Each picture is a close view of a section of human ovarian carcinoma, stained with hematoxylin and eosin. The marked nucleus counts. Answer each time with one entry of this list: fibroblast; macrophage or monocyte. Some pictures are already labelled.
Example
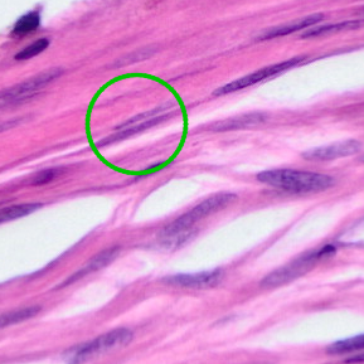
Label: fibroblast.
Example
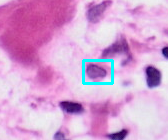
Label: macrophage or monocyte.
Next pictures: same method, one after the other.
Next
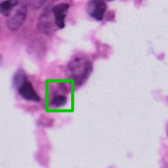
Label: macrophage or monocyte.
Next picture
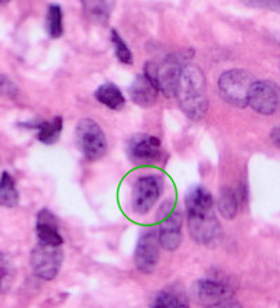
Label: macrophage or monocyte.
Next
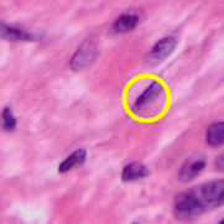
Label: fibroblast.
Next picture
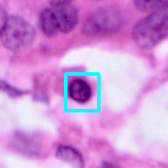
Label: macrophage or monocyte.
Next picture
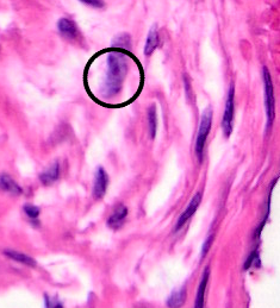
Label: fibroblast.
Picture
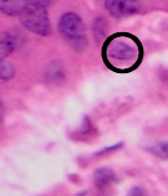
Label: macrophage or monocyte.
